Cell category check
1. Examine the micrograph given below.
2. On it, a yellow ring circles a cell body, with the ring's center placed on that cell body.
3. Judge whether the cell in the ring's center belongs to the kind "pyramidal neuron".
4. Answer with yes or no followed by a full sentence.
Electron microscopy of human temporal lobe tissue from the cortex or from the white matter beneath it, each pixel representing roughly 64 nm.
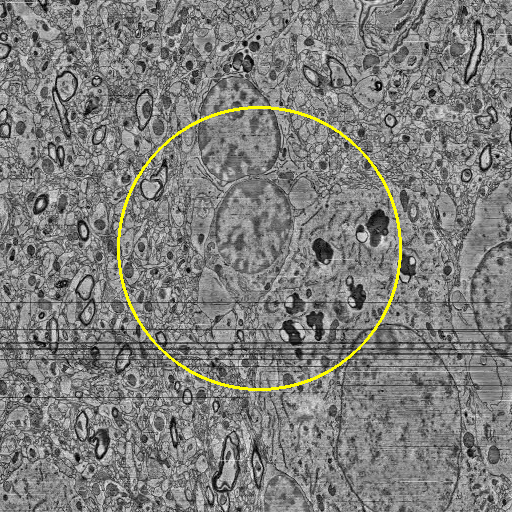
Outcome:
No, the cell found at the ring's center in the micrograph belongs to another kind.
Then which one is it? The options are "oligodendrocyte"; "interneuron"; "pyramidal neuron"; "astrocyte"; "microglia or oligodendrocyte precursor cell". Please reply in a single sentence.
It is an oligodendrocyte at the centre of the ring.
